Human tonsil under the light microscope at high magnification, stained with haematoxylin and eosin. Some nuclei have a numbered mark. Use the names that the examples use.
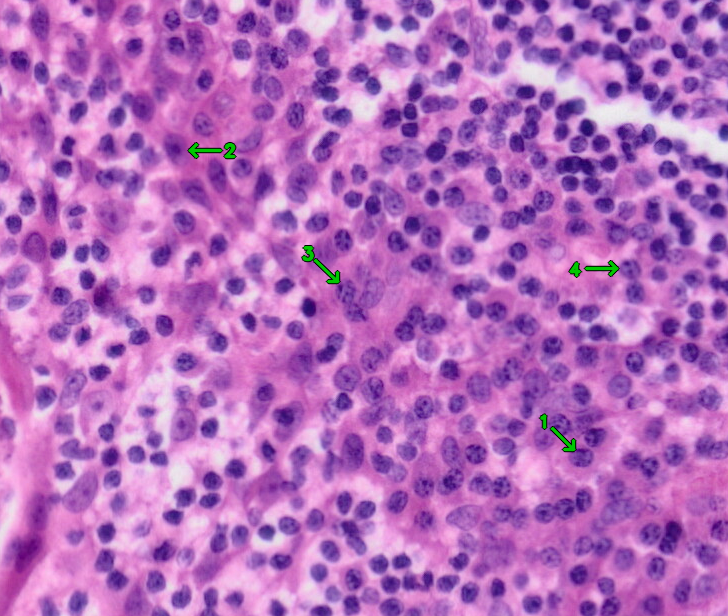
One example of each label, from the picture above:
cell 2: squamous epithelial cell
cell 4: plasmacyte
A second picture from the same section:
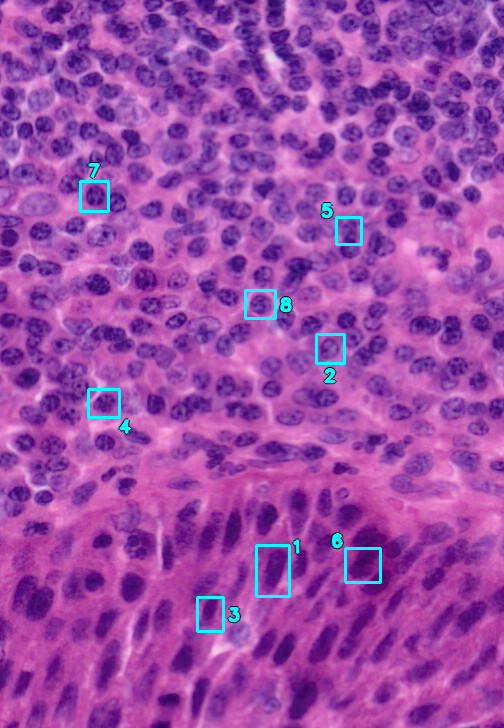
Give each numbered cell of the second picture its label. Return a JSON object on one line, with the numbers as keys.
{"1": "squamous epithelial cell", "2": "plasmacyte", "3": "squamous epithelial cell", "4": "plasmacyte", "5": "plasmacyte", "6": "squamous epithelial cell", "7": "plasmacyte", "8": "plasmacyte"}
